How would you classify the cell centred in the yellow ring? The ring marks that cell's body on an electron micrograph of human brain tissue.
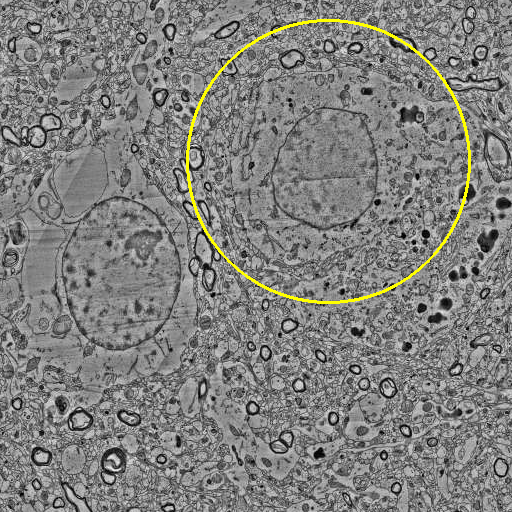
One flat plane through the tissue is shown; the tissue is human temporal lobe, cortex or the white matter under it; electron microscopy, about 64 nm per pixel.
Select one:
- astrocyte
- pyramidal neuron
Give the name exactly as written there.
pyramidal neuron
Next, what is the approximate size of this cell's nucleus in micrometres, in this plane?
About 8 micrometres across in this plane, for the nucleus.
